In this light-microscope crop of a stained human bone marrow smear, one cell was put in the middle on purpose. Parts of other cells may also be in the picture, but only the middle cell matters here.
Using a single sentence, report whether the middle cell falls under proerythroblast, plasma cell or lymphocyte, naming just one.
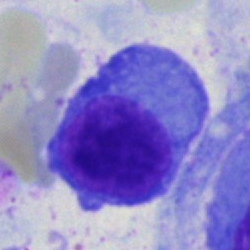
For this crop, the cell in the middle is a plasma cell.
